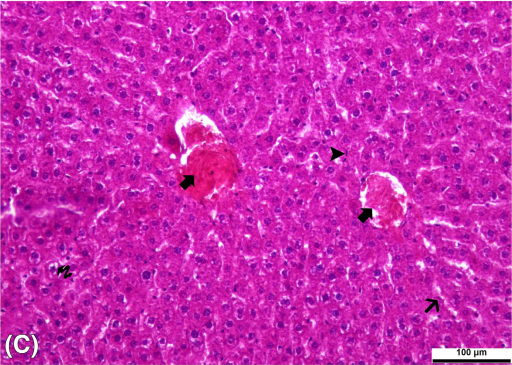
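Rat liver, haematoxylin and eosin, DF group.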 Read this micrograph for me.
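Hepatocytes have pink cytoplasm and round, centrally placed purple nuclei. Both central veins are distended and filled with dense red-pink material, indicating congestion. Sinusoids between the cords are narrow slits, with small elongated dark nuclei of lining cells along them. Some hepatocytes at the lower left show paler, irregular cytoplasm.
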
